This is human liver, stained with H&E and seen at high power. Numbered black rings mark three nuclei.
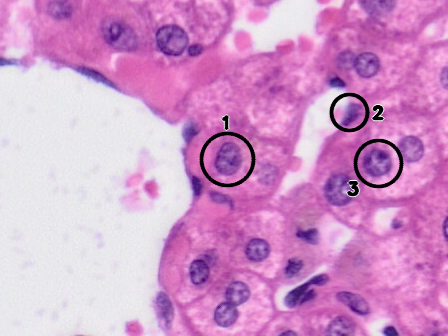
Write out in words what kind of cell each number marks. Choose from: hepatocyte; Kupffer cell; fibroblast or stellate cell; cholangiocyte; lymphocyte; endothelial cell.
Cell 1 is a hepatocyte, cell 2 is an endothelial cell and cell 3 is a hepatocyte.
